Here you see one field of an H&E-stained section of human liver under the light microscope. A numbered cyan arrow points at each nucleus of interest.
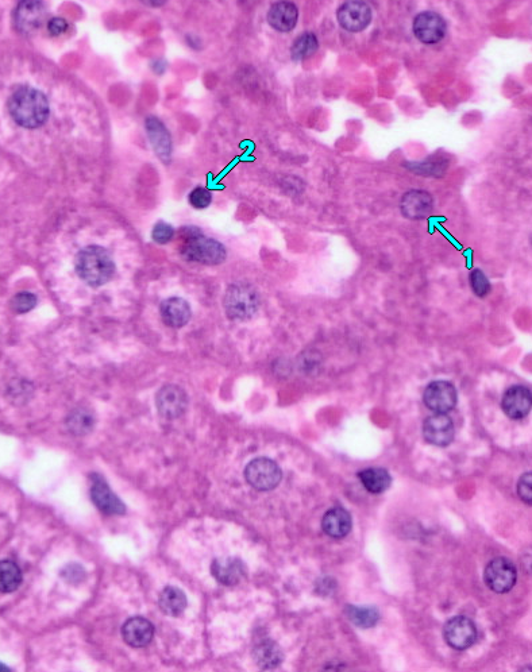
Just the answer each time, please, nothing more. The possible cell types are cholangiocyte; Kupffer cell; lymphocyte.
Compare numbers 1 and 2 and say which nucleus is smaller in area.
2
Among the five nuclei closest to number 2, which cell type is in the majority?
Kupffer cell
